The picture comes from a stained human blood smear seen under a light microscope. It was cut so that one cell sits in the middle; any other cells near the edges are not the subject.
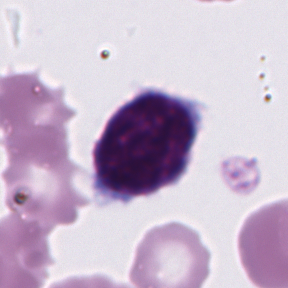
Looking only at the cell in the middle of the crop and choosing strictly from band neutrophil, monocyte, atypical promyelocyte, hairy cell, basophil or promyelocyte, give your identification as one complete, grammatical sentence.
The crop centres on a single cell, and that cell is a hairy cell.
